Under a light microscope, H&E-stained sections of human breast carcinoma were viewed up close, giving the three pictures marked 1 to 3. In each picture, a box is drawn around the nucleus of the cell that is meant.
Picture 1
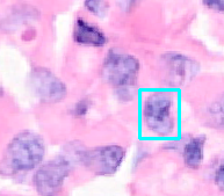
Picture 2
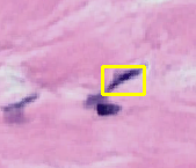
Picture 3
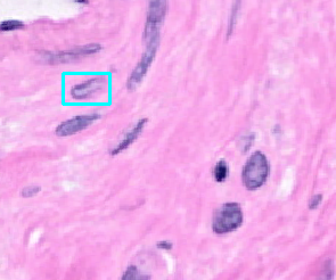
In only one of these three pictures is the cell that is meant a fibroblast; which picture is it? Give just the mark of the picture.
2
